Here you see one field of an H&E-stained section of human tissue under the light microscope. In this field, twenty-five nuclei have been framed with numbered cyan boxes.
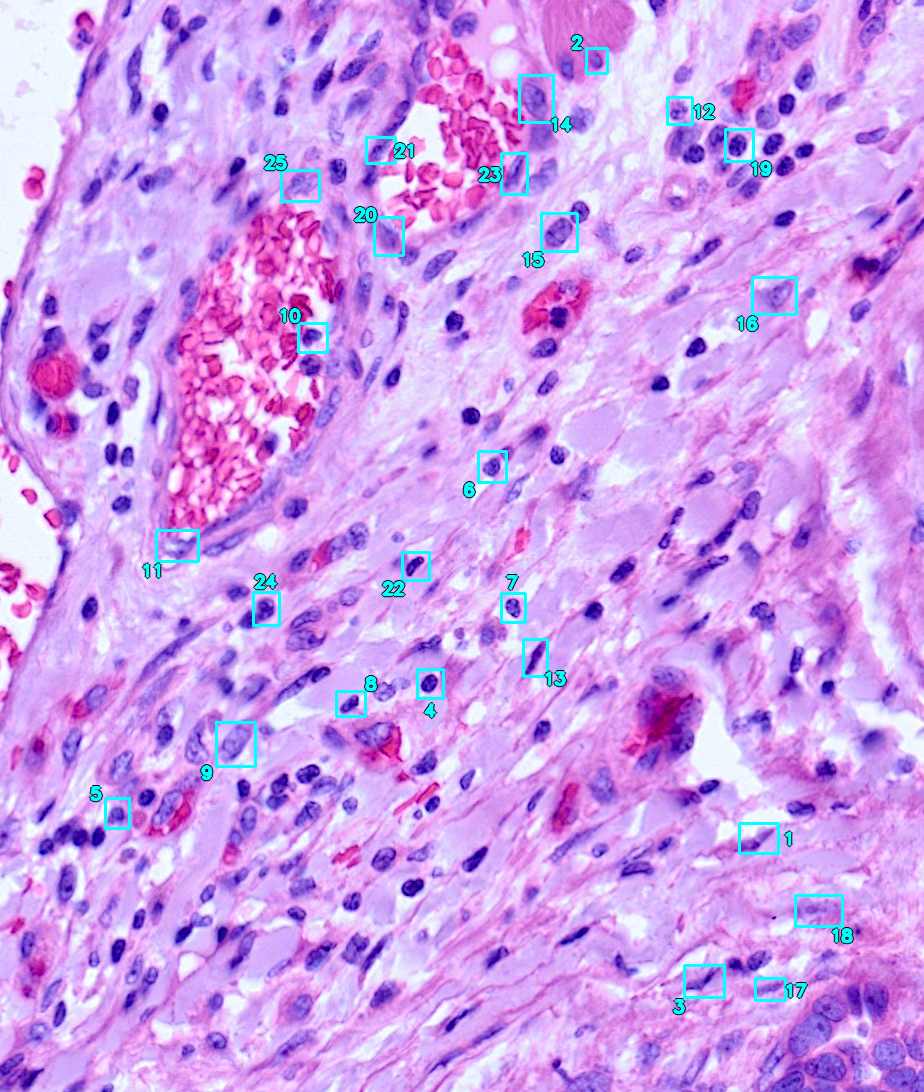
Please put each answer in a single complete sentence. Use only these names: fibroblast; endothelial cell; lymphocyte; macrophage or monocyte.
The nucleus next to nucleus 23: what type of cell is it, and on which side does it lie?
The nearest nucleus is that of a fibroblast and lies below and to the right of nucleus 23.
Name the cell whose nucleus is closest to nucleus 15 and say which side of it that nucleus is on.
The nearest one is a lymphocyte, found above and to the right of nucleus 15.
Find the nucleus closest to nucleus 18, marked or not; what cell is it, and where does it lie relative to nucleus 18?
The nearest nucleus is that of a macrophage or monocyte and lies below nucleus 18.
